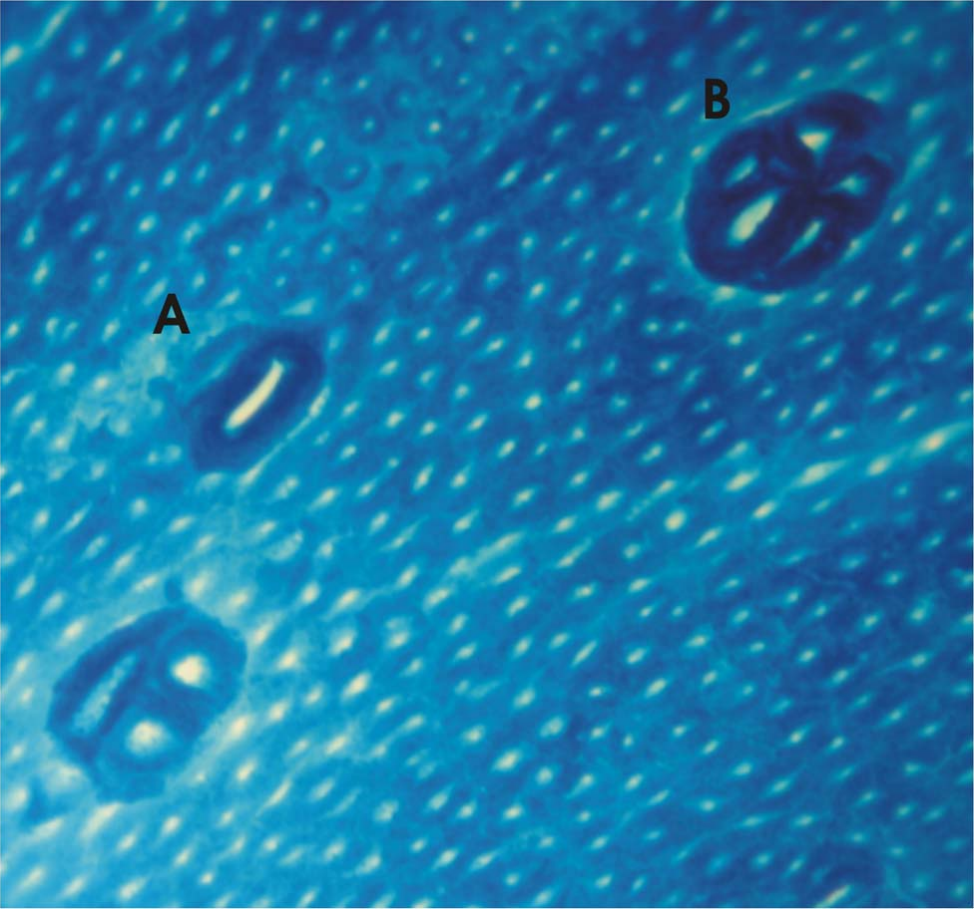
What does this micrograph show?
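This is a whole mount of colonic mucosa seen from the luminal surface, where normal crypts appear as a regular field of small pale dot-like openings in blue-stained tissue. Scattered among them are aberrant crypts, which are much larger, more darkly stained and have thick rims with elongated slit-like lumens. They occur singly or grouped together in a compact focus of several crypts.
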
